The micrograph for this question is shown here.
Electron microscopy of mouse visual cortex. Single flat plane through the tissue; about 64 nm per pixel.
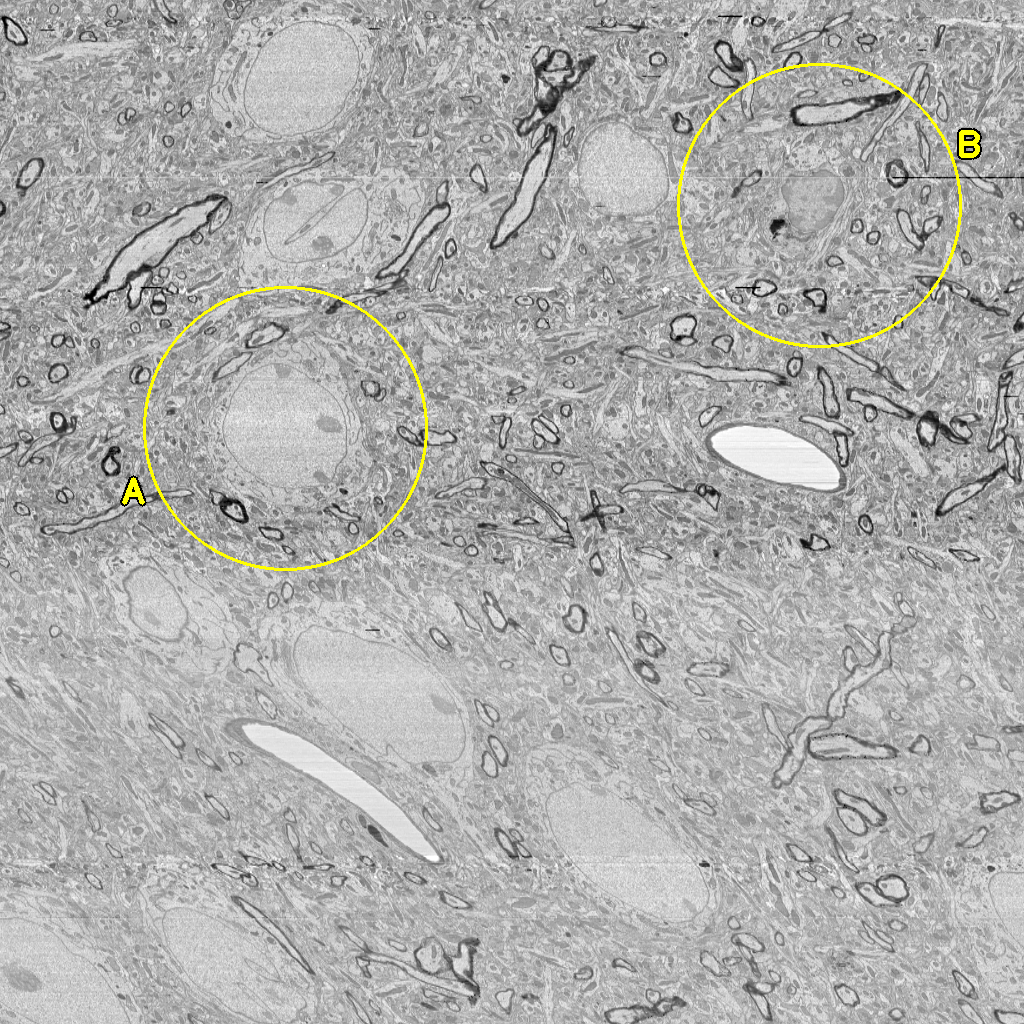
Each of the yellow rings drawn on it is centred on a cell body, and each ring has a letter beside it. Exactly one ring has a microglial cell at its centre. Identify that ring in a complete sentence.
The ring centred on it is ring B.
